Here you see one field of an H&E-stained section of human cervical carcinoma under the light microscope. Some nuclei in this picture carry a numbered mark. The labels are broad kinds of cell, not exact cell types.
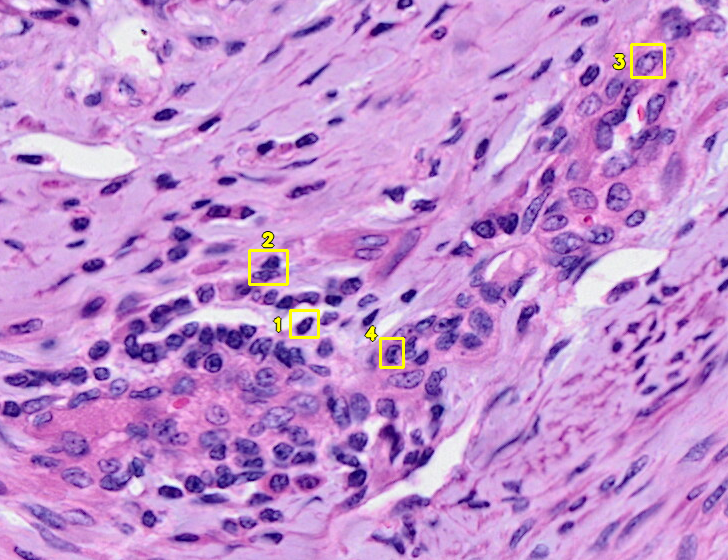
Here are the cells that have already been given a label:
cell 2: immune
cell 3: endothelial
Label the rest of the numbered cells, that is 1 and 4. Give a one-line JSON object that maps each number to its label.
{"1": "immune", "4": "endothelial"}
